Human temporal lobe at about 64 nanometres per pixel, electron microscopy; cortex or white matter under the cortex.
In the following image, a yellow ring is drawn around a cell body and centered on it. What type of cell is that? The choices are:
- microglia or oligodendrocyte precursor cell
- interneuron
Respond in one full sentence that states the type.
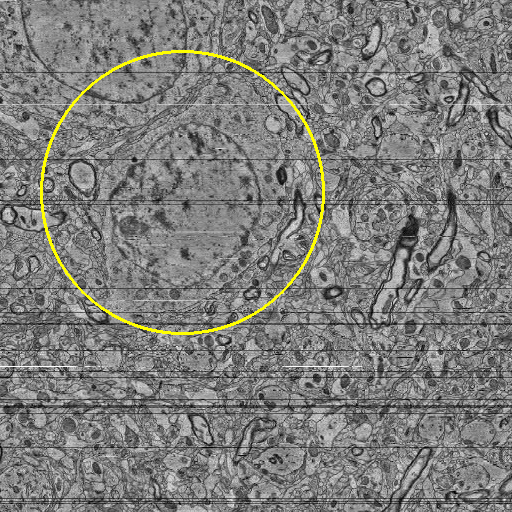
The cell at the center of the yellow ring in the image is an interneuron.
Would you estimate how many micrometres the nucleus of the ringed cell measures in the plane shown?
Roughly 10 micrometres across for the nucleus, in this plane.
